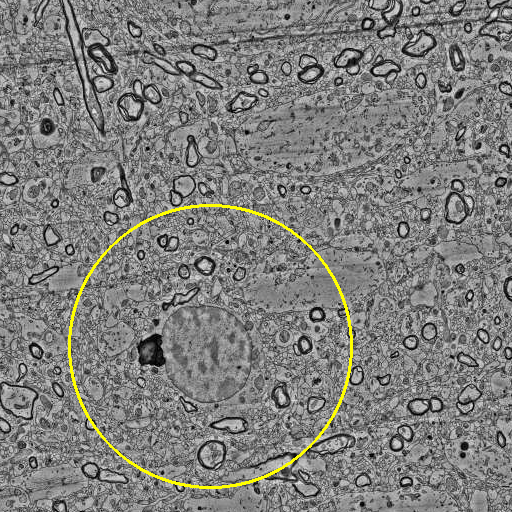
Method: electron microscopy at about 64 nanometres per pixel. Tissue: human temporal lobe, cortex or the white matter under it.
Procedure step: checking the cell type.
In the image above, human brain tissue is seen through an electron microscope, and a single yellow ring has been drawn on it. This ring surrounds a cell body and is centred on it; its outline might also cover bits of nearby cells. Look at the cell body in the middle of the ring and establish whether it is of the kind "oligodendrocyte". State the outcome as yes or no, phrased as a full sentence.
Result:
Yes, the cell body at the ring's centre in the image is of the kind in question.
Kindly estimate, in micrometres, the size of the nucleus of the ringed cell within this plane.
Roughly 6 micrometers across in this plane.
